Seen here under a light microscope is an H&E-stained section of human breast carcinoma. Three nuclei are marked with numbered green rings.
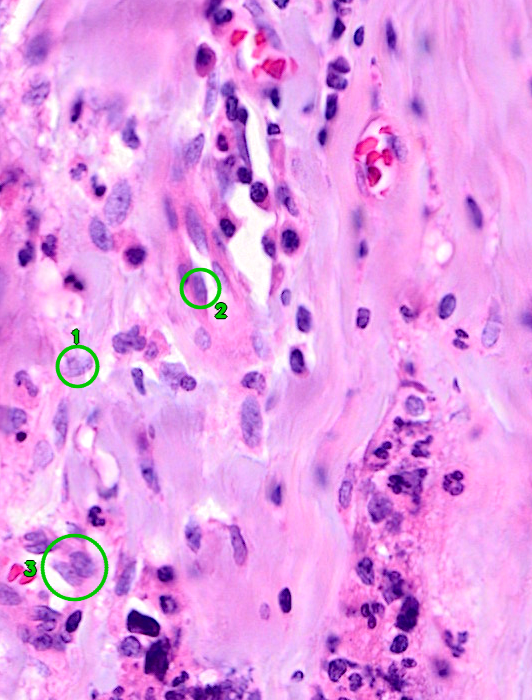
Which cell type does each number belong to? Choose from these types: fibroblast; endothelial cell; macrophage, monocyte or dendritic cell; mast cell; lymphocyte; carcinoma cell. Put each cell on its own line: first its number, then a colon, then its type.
1: fibroblast
2: endothelial cell
3: endothelial cell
